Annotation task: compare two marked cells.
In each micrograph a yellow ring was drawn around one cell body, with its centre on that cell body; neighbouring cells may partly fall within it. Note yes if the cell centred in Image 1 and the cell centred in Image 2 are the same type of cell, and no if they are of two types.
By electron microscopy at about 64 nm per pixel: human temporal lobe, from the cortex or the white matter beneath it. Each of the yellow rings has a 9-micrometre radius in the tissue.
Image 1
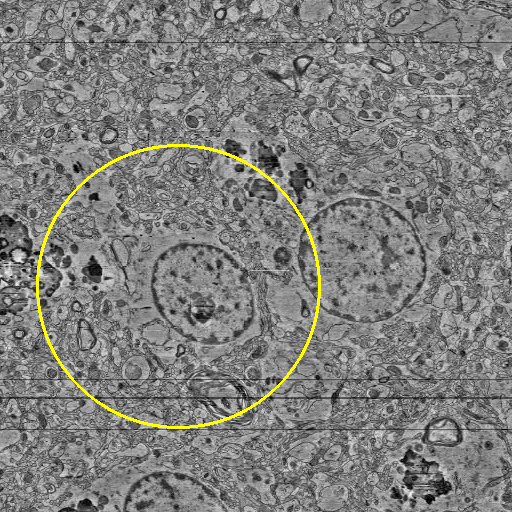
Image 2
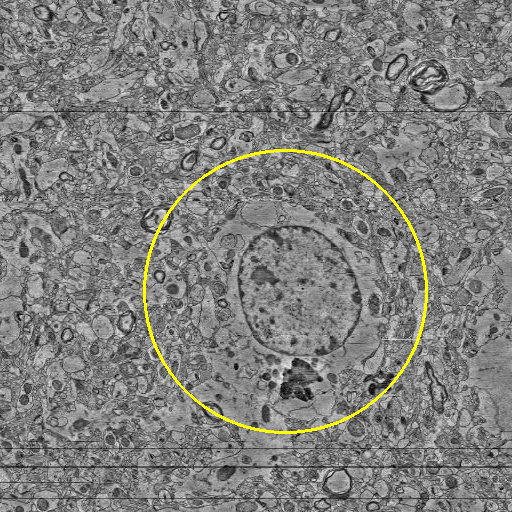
yes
